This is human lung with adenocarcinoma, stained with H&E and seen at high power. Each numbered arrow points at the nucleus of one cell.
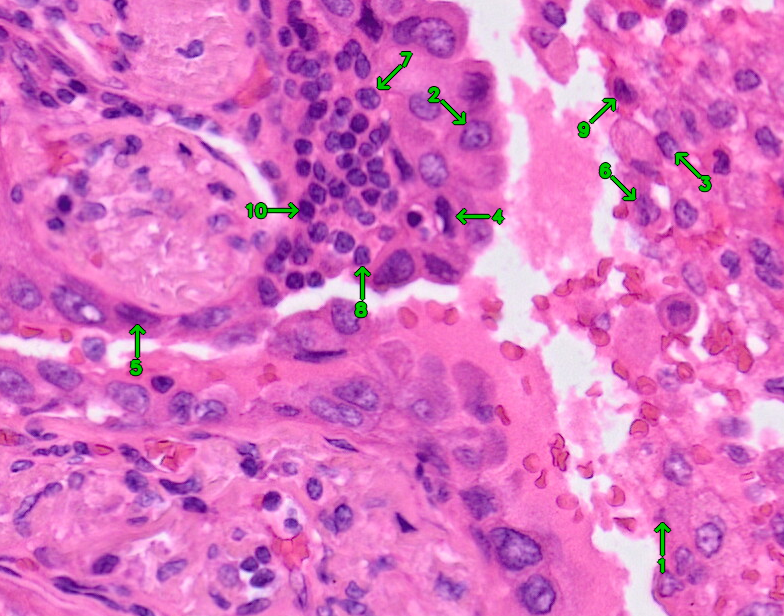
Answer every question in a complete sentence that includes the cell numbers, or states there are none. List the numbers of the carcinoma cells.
The numbers 2, 4 and 5 refer to cells that are carcinoma cells.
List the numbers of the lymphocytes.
The cells 7, 8 and 10 in this section are lymphocytes.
